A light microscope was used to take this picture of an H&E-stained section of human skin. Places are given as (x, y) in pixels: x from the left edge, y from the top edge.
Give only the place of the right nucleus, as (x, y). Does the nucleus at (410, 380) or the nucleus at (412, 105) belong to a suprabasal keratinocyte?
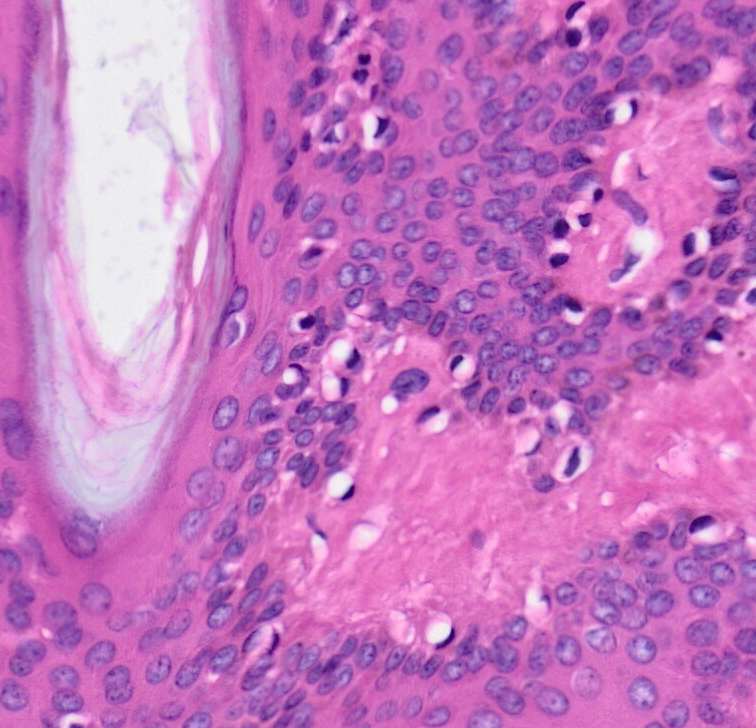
(412, 105)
